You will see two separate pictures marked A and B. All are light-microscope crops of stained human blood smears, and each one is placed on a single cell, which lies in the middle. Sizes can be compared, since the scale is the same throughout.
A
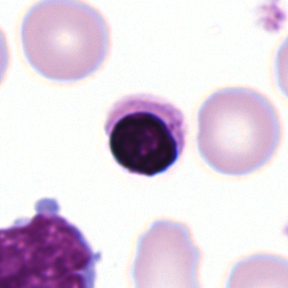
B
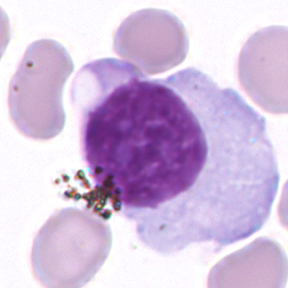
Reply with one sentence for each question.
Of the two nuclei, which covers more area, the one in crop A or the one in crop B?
Larger is the nucleus in crop B, at roughly 4 times the area of the other.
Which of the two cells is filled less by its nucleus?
The nucleus fills less of the cell in crop B than in crop A.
